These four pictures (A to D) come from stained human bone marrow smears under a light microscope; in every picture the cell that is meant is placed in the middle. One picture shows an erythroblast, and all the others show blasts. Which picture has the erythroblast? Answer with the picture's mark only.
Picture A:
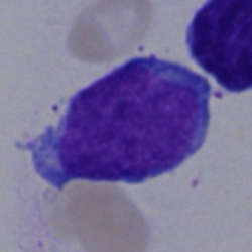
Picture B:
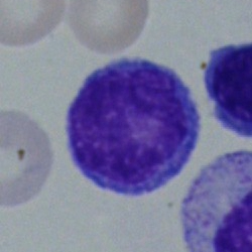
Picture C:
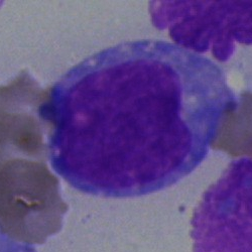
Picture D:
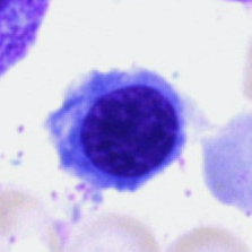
D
